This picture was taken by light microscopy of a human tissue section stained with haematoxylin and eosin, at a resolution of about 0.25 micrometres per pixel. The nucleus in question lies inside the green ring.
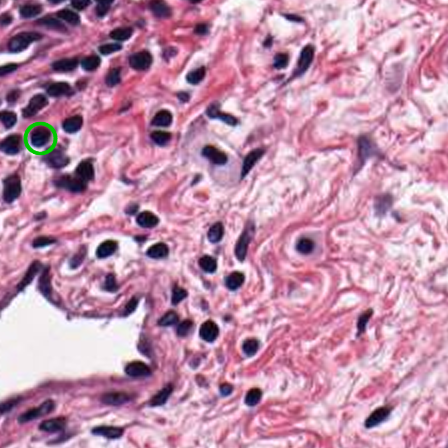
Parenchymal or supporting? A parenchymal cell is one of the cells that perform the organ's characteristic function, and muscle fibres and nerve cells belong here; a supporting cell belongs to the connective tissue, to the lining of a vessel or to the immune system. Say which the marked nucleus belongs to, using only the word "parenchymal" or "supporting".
supporting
